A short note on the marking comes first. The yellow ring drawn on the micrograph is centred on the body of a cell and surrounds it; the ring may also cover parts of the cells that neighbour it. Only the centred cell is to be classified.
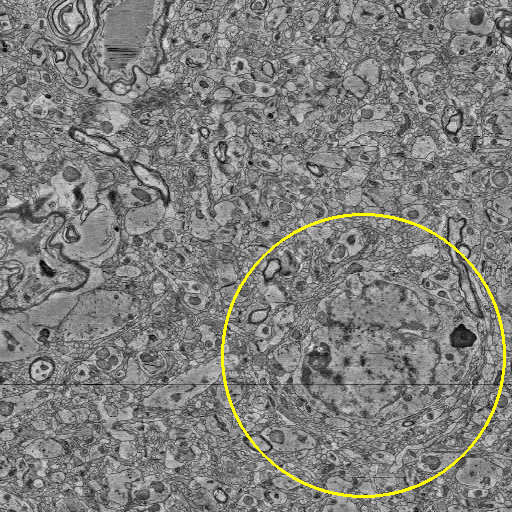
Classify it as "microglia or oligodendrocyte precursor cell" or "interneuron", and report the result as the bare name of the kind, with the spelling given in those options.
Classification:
interneuron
